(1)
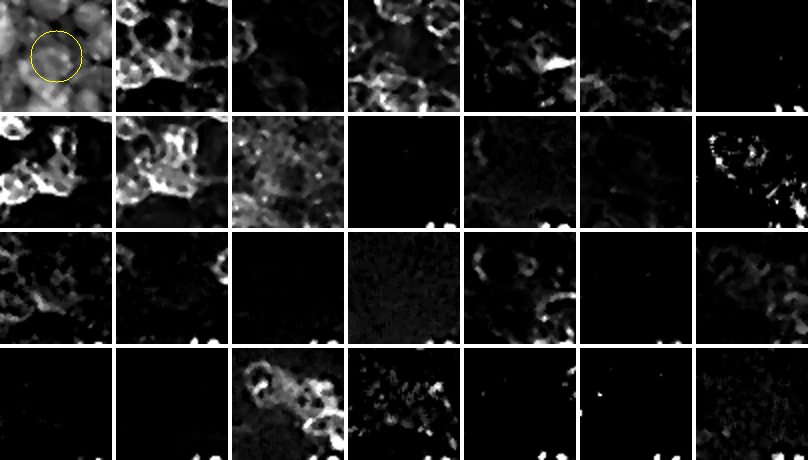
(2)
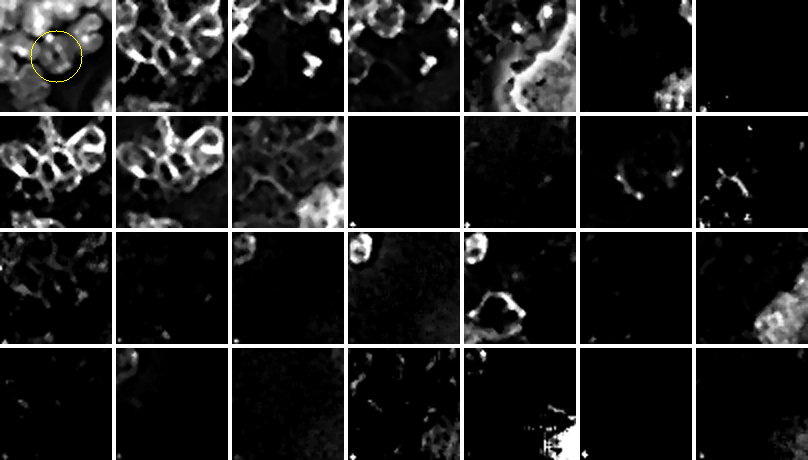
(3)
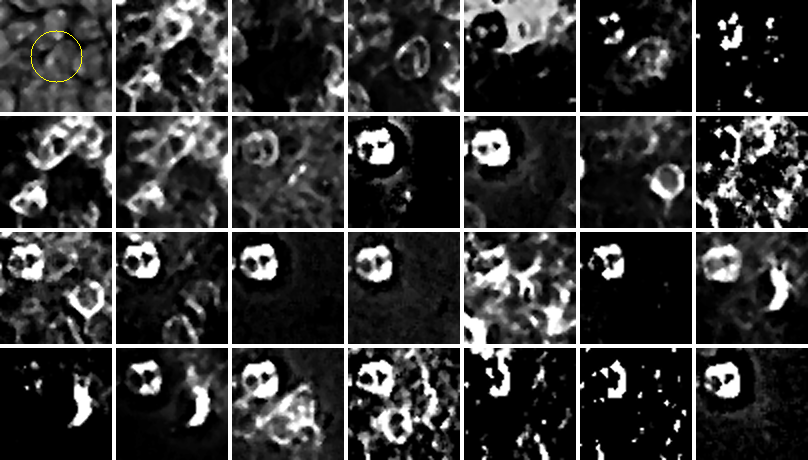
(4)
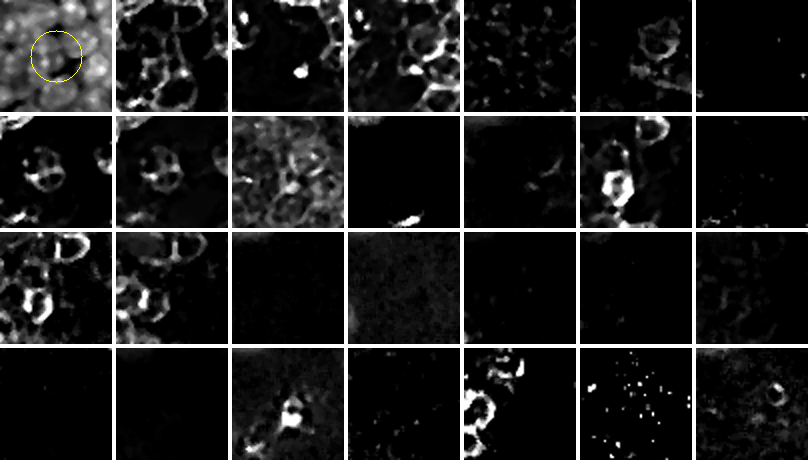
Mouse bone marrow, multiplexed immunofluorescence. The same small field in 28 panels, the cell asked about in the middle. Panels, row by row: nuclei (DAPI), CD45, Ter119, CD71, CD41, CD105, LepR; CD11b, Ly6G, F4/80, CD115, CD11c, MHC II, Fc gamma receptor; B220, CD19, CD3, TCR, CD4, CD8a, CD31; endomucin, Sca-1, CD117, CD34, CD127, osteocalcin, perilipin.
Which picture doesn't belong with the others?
Picture 2.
